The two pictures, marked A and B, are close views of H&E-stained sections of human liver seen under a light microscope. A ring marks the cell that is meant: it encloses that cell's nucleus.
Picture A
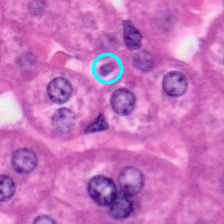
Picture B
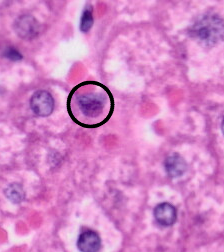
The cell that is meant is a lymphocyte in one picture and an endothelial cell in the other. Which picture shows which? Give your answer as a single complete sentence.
In picture A the cell is a lymphocyte; in picture B, an endothelial cell.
